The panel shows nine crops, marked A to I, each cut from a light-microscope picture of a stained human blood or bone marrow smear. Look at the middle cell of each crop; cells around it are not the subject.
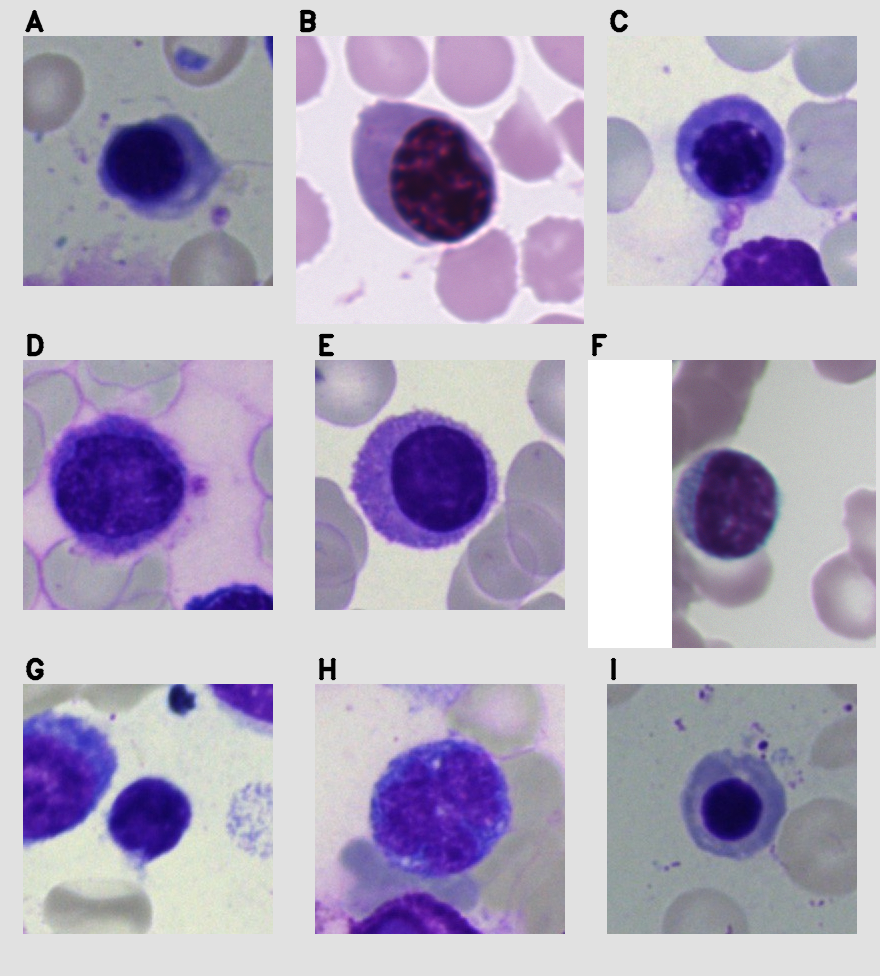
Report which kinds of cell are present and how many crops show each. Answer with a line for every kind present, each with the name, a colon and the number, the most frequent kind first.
erythroblast: 4
monocyte: 3
lymphocyte: 2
